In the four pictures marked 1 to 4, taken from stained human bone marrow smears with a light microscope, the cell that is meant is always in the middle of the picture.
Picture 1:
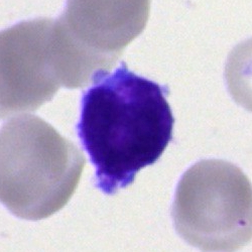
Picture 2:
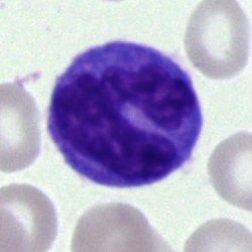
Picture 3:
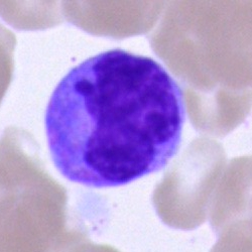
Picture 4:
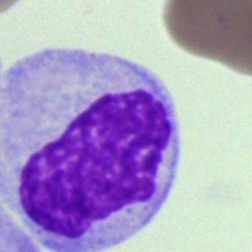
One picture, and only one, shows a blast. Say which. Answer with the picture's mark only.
1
